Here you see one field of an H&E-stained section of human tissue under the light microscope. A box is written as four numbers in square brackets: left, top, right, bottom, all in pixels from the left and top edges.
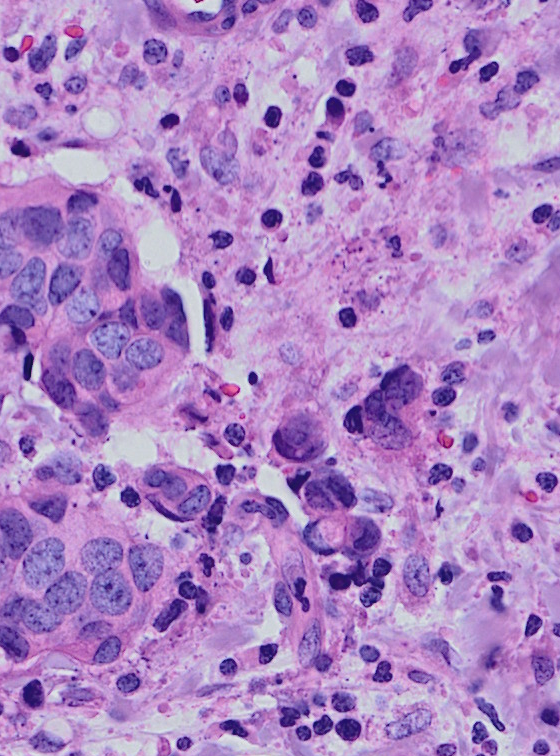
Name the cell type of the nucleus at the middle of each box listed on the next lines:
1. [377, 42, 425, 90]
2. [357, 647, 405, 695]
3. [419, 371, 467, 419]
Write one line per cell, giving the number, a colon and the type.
1: fibroblast
2: lymphocyte
3: lymphocyte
